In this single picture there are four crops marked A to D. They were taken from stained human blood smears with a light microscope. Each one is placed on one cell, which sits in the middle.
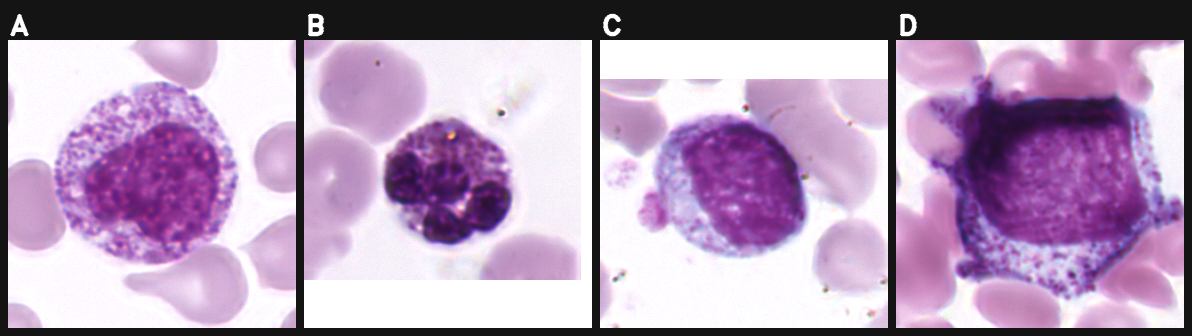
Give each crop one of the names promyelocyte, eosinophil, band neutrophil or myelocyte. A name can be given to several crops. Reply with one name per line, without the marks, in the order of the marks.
myelocyte
eosinophil
myelocyte
promyelocyte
